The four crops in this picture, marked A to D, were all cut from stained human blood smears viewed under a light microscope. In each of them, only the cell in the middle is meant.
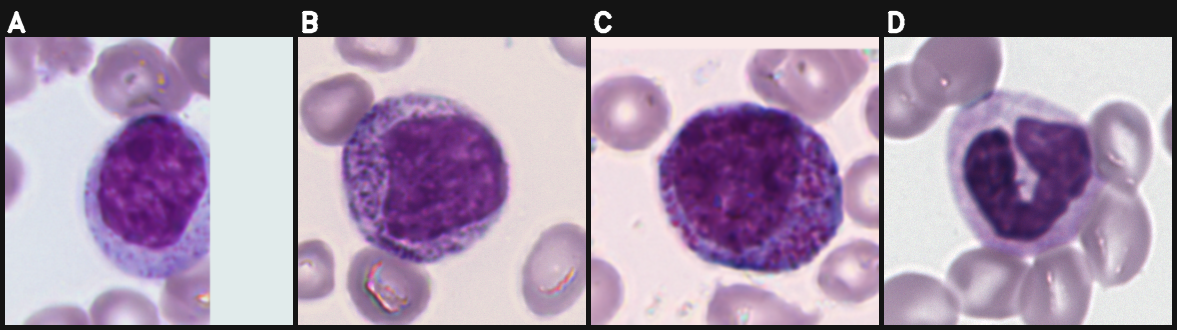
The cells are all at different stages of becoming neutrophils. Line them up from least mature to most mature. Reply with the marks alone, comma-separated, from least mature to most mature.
C, B, A, D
